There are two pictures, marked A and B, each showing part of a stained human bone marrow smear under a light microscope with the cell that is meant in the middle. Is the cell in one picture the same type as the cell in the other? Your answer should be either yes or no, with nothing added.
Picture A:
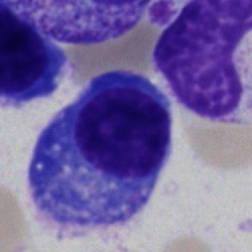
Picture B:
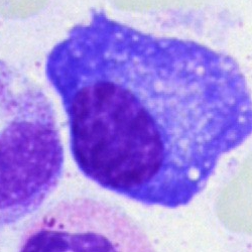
yes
